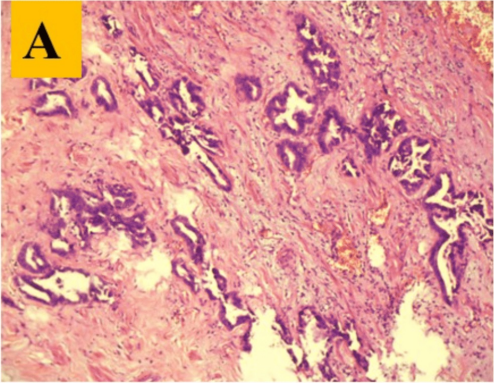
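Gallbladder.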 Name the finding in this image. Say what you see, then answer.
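Irregular, angulated glands lined by dark-staining columnar cells. The glands lie scattered in a pink fibrous stroma.
Hence: well differentiated adenocarcinoma.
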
